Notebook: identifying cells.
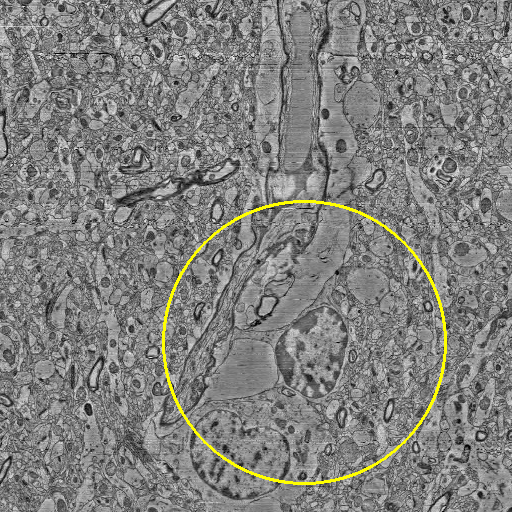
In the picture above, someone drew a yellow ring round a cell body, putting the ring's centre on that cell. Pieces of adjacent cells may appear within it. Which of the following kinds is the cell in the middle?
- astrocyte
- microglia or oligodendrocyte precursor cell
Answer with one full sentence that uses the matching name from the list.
In this picture, the yellow ring is centred on the body of a microglial cell or oligodendrocyte precursor cell.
